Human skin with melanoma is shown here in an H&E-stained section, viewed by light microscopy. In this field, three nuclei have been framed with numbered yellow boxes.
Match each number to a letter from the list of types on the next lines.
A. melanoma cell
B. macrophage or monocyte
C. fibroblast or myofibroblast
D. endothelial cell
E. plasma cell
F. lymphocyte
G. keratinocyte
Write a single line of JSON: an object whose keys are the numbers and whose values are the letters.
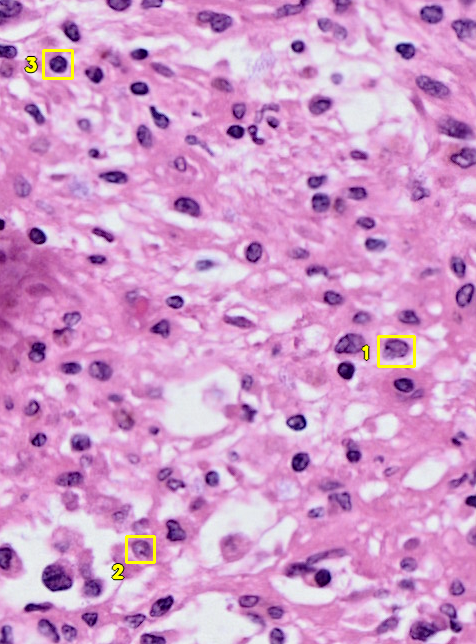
{"1": "B", "2": "B", "3": "F"}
